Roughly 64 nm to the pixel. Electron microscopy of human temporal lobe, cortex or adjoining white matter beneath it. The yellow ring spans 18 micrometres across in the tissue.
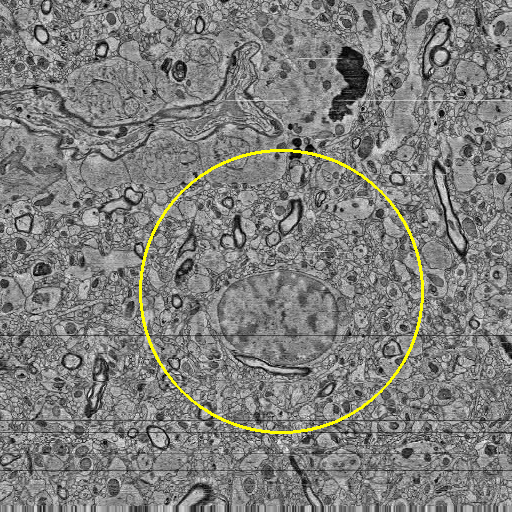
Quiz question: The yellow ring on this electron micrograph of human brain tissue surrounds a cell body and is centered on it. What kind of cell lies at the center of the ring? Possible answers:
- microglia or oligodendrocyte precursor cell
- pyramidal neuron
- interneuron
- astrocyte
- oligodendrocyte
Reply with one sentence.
The ring's center lies on an oligodendrocyte.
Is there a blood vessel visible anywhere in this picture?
Yes, one is visible.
